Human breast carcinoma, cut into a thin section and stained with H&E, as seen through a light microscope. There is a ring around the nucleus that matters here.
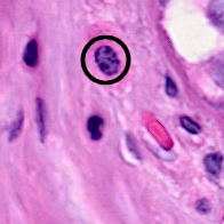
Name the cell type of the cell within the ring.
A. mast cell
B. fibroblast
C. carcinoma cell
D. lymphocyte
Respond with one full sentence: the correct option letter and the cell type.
Option A names it right: the cell within the ring is a mast cell.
